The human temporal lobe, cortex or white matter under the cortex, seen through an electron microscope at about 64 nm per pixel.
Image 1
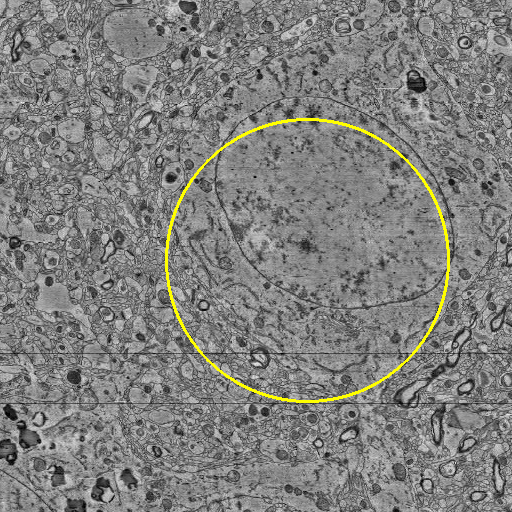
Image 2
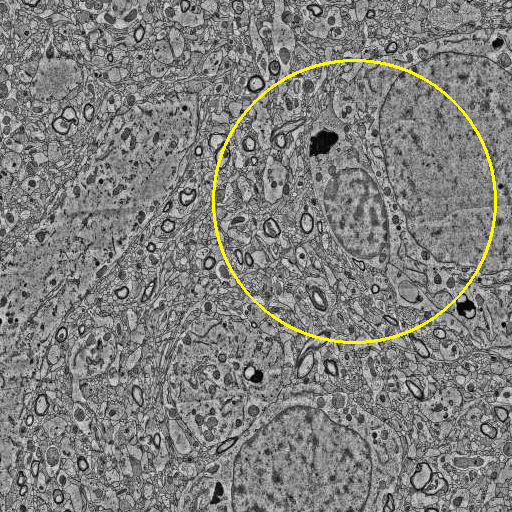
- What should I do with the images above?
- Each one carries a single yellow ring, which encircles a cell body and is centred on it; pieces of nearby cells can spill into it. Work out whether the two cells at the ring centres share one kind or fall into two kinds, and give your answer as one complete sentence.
The ring-centre cells of Image 1 and Image 2 fall into two kinds.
